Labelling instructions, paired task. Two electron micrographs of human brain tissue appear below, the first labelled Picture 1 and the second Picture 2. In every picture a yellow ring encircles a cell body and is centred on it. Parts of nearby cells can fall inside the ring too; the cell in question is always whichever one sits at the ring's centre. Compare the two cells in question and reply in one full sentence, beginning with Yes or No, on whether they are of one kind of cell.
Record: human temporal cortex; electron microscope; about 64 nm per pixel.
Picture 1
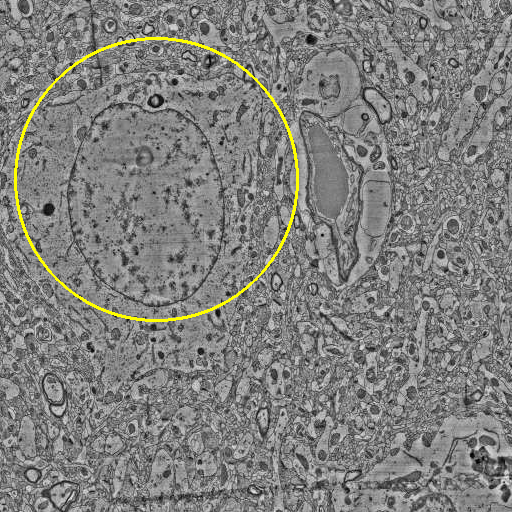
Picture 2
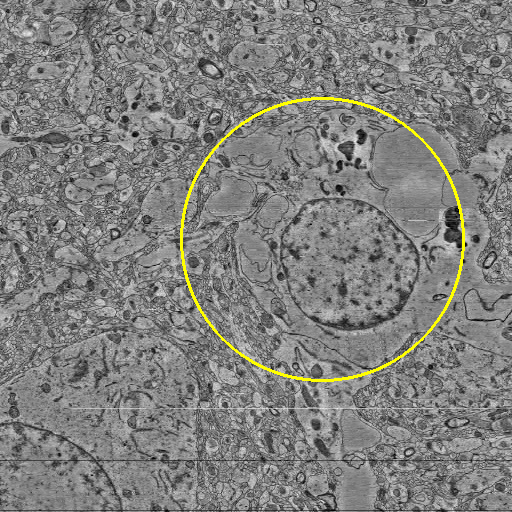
No, the two cells at the ring centres in Picture 1 and Picture 2 are of two kinds.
